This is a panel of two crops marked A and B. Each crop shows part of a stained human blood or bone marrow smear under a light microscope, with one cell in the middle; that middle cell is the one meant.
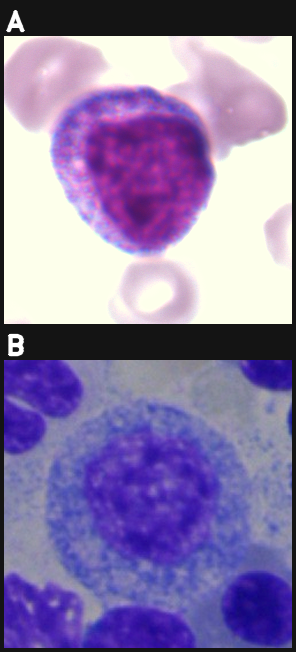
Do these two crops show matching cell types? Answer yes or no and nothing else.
yes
